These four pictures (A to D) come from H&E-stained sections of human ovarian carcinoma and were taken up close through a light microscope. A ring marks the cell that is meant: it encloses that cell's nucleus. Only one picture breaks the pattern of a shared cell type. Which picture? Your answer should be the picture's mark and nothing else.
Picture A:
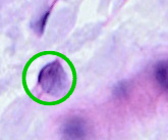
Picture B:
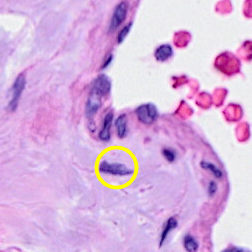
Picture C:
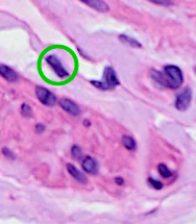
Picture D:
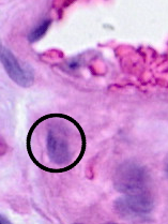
D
